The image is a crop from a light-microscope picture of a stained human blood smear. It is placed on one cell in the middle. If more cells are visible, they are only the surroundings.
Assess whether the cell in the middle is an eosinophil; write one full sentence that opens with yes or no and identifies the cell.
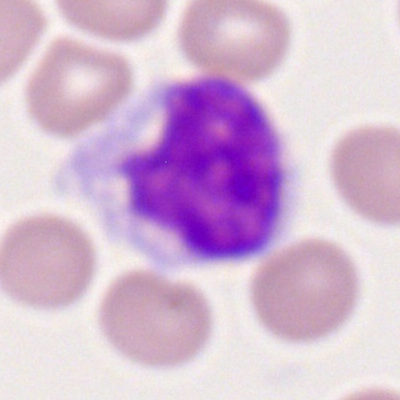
No, not an eosinophil but a monocyte is the cell in the centre.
